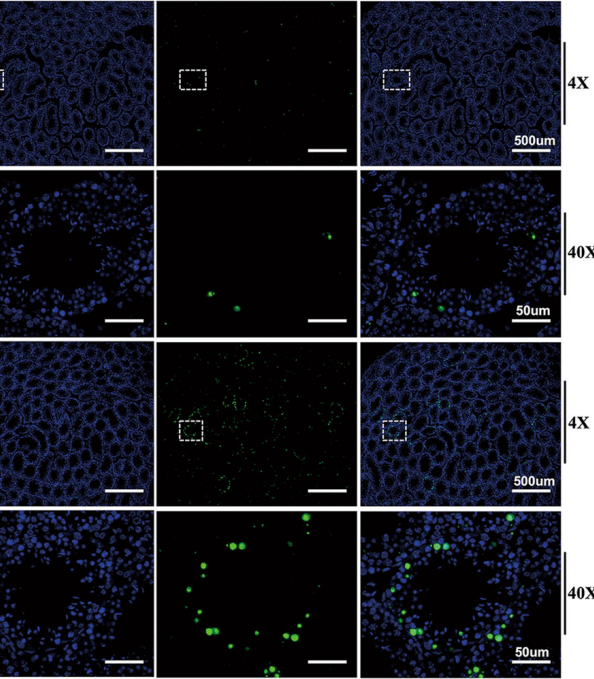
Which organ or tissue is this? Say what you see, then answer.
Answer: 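Low-magnification views show many packed round tubules in cross-section. Higher magnification shows a tubule with a central lumen lined by many layers of nuclei. The answer: testes.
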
